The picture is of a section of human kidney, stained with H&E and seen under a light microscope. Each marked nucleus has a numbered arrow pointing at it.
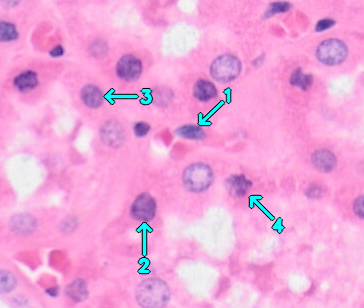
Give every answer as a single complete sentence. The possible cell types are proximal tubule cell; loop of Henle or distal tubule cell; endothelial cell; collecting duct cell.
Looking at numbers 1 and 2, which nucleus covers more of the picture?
The larger nucleus is 2, at roughly 1.5 times the area of 1.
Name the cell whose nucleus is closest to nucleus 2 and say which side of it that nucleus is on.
Just above and to the right of nucleus 2 lies the nearest nucleus, which belongs to a proximal tubule cell.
